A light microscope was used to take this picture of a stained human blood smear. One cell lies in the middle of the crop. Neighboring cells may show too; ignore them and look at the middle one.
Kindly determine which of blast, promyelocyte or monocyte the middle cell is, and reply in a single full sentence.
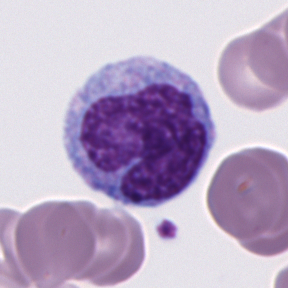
This particular crop is centered on a monocyte.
